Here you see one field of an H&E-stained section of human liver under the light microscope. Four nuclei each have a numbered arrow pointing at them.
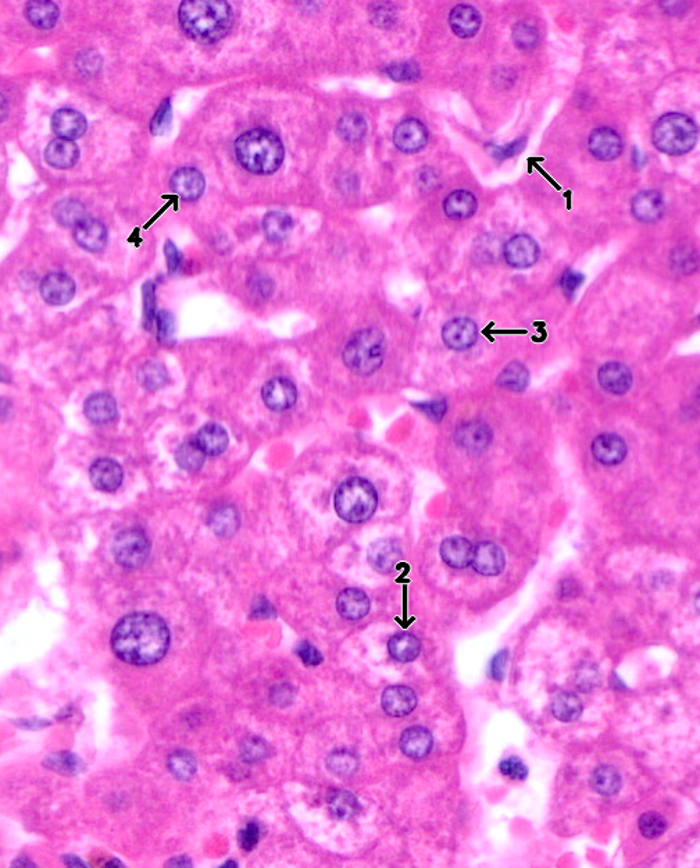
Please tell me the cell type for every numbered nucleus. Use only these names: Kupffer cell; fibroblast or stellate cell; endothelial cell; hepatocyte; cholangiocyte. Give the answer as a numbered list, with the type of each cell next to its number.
1. Kupffer cell
2. hepatocyte
3. hepatocyte
4. hepatocyte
